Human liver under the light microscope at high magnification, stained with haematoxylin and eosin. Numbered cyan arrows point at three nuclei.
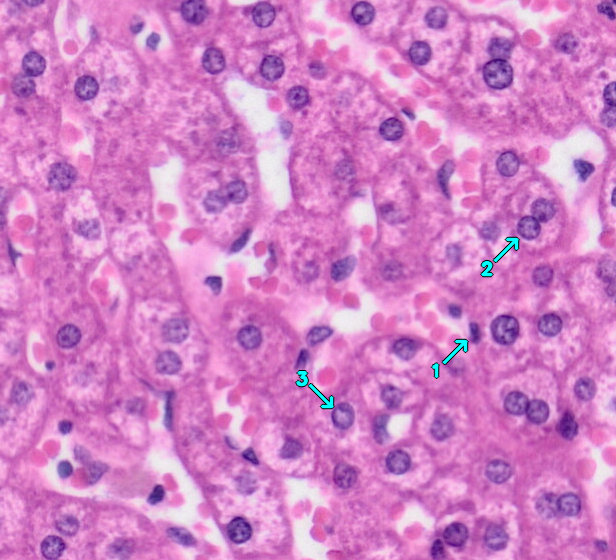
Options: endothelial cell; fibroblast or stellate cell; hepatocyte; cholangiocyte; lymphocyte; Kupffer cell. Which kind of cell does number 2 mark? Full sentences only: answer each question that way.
In this section, number 2 marks a hepatocyte.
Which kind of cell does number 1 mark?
Denoted by the label 1 in the section is a fibroblast or stellate cell.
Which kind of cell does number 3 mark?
Cell 3 in the field is a hepatocyte.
